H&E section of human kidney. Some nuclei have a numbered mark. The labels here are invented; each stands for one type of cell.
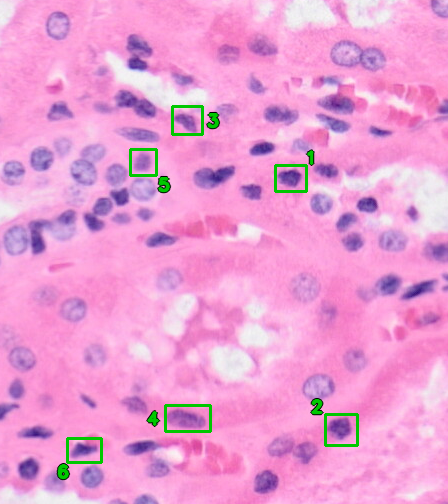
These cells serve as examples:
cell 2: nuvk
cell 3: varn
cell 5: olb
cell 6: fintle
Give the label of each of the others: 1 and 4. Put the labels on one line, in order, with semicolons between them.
varn; nuvk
